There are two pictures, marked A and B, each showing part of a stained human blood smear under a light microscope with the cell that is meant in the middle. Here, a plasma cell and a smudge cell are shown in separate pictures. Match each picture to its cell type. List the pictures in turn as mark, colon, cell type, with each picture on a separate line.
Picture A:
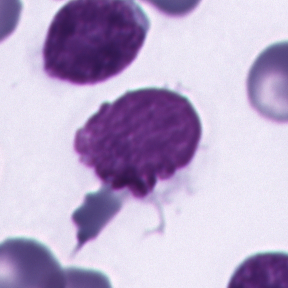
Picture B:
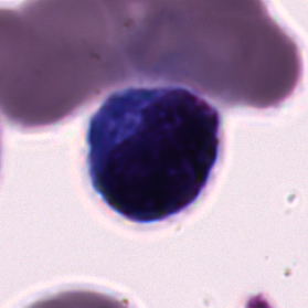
A: smudge cell
B: plasma cell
